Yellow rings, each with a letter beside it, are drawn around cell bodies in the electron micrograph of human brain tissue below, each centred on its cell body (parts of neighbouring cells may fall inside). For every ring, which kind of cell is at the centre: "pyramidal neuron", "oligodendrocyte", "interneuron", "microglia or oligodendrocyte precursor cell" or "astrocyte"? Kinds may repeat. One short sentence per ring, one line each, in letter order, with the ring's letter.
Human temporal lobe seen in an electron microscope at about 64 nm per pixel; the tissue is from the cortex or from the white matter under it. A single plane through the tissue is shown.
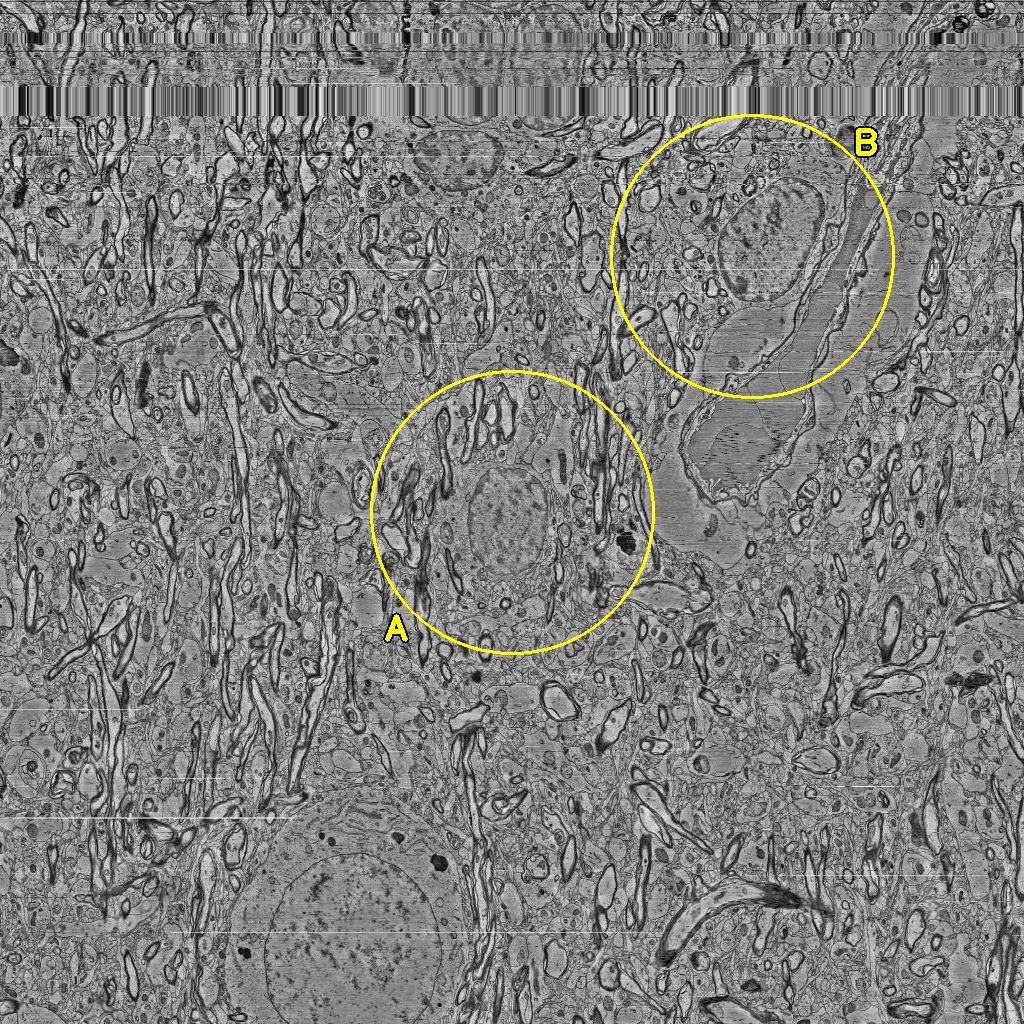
The cell in ring A is an oligodendrocyte.
The cell in ring B is a microglial cell or oligodendrocyte precursor cell.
